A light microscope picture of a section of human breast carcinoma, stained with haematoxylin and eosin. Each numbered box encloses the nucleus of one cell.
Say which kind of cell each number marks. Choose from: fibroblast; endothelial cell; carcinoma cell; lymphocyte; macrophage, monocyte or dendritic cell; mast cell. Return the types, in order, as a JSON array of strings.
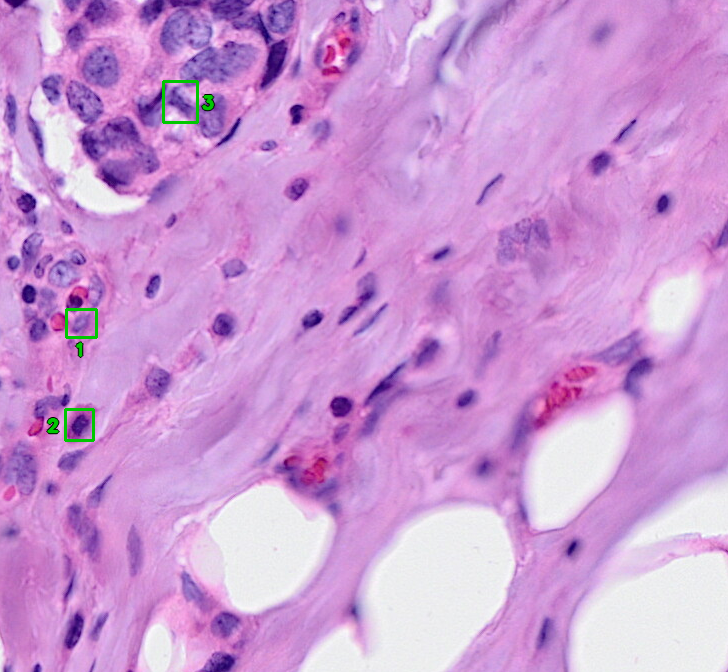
["endothelial cell", "mast cell", "carcinoma cell"]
